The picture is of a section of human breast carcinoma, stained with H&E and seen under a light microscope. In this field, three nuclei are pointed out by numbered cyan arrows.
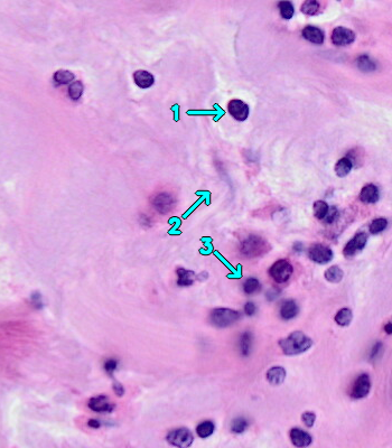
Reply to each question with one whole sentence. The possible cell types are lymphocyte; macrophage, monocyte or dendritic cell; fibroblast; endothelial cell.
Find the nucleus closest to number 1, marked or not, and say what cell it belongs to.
The nearest nucleus to number 1 belongs to a macrophage, monocyte or dendritic cell.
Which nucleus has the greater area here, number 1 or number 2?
Nucleus 2 is the larger one, covering about 1.5 times the area of nucleus 1.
